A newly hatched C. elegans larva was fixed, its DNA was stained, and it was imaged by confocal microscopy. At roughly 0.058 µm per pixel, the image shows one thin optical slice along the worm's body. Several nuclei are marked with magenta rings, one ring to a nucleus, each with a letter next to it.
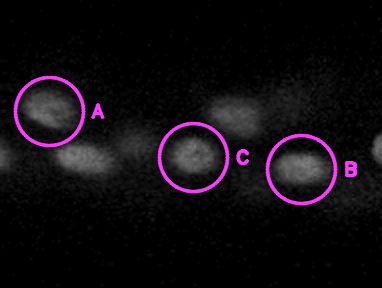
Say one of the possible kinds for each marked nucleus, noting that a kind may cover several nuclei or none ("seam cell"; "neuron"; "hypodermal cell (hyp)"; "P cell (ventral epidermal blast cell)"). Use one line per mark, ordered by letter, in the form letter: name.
A: hypodermal cell (hyp)
B: P cell (ventral epidermal blast cell)
C: seam cell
